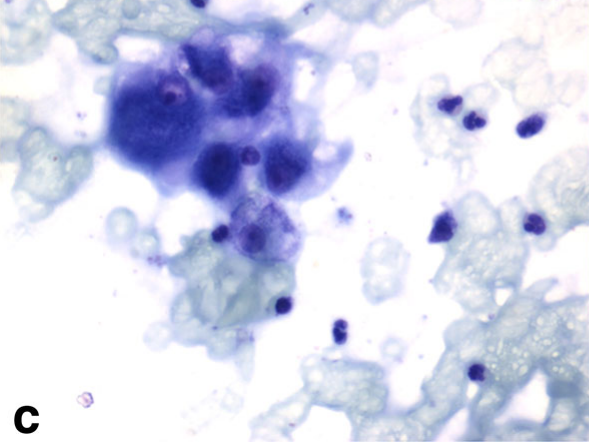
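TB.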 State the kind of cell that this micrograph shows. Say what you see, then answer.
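A group of large cells with big, dark, round nuclei. On this evidence: Tumor cells.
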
